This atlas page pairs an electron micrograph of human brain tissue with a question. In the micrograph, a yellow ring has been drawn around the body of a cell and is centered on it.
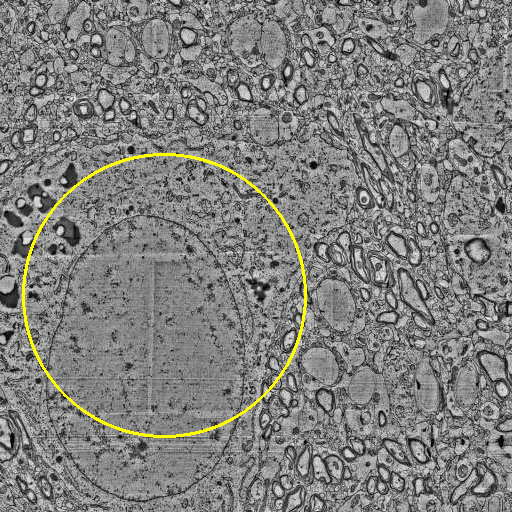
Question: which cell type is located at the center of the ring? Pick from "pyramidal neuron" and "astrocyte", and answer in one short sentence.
Located at the center of the ring is a pyramidal neuron.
